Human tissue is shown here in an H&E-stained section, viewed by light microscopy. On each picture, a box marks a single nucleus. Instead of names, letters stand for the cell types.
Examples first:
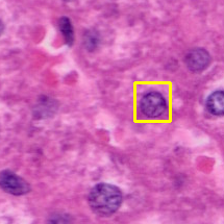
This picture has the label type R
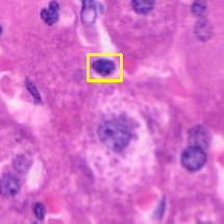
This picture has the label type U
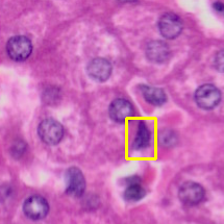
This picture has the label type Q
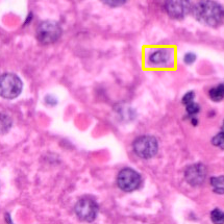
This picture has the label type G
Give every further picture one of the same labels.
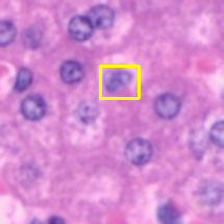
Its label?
type G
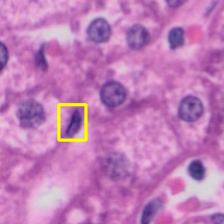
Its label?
type Q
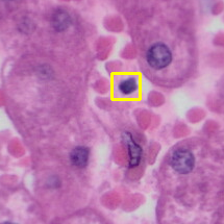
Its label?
type U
